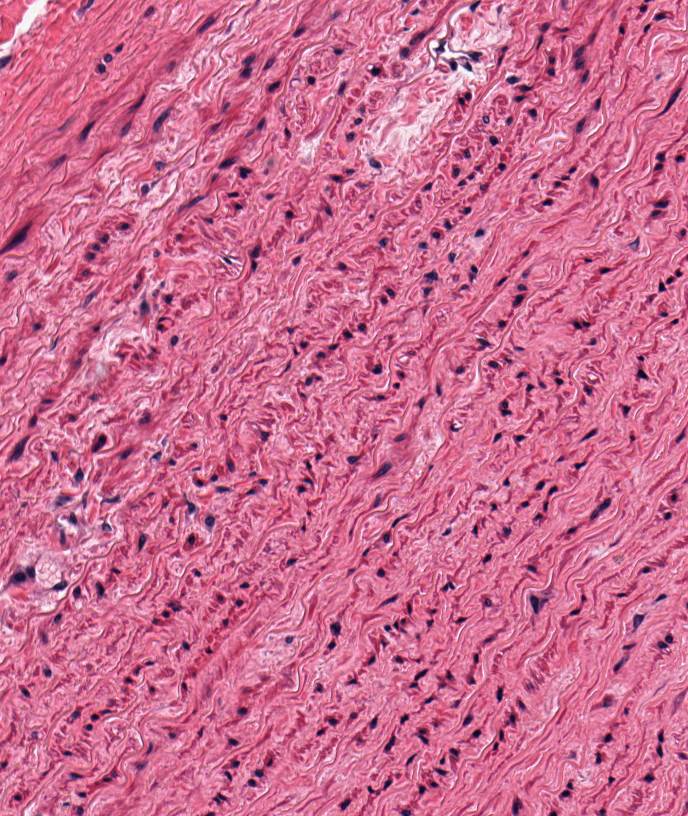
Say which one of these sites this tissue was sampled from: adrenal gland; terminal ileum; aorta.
aorta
